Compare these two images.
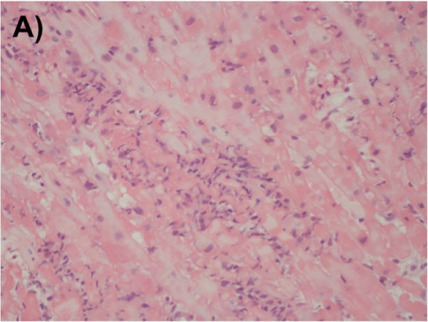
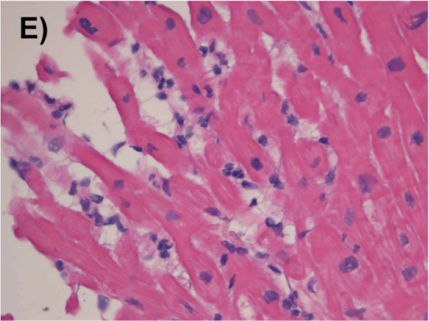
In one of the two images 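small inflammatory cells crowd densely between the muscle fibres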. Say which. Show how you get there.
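First image: dense bands of small dark nuclei run between the muscle fibres across the field. So: the first image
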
